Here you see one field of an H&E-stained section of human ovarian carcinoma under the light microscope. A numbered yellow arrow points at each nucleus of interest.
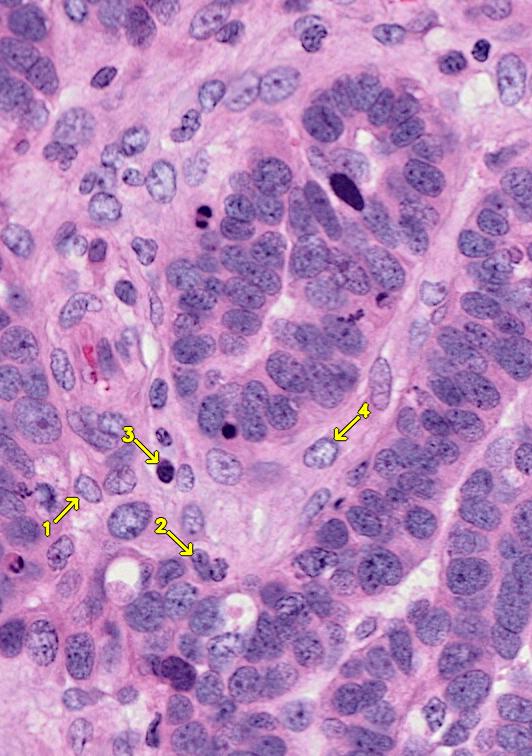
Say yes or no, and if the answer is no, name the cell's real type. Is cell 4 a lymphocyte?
No, it is a fibroblast.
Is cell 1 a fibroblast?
Yes.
